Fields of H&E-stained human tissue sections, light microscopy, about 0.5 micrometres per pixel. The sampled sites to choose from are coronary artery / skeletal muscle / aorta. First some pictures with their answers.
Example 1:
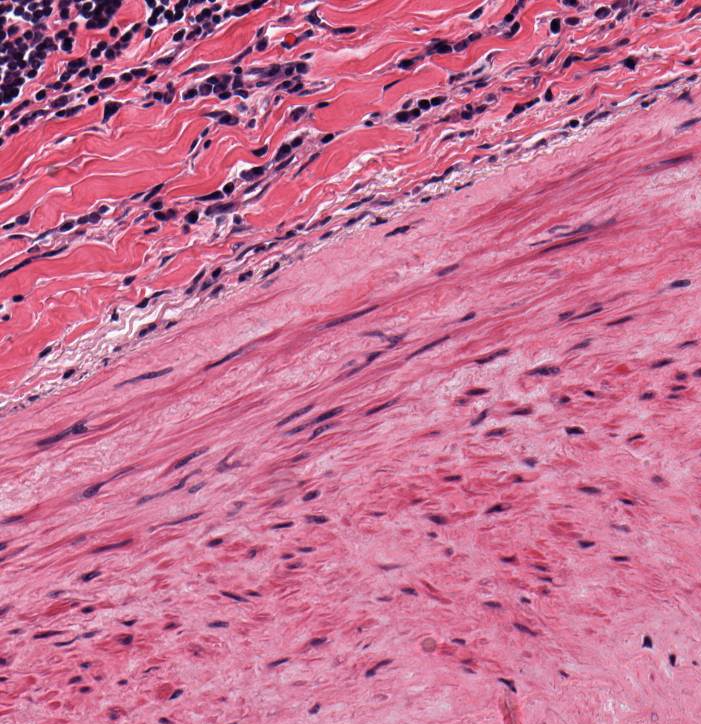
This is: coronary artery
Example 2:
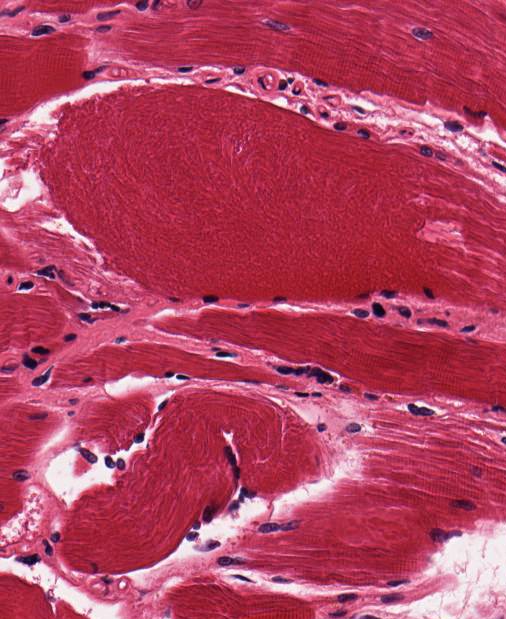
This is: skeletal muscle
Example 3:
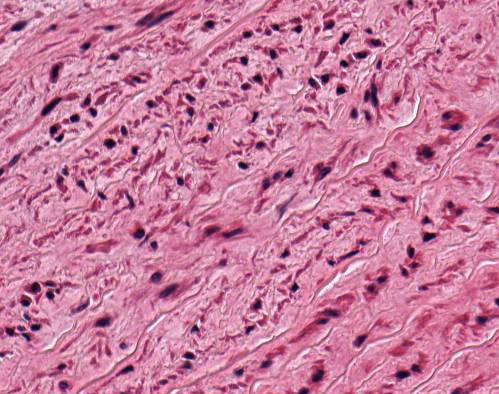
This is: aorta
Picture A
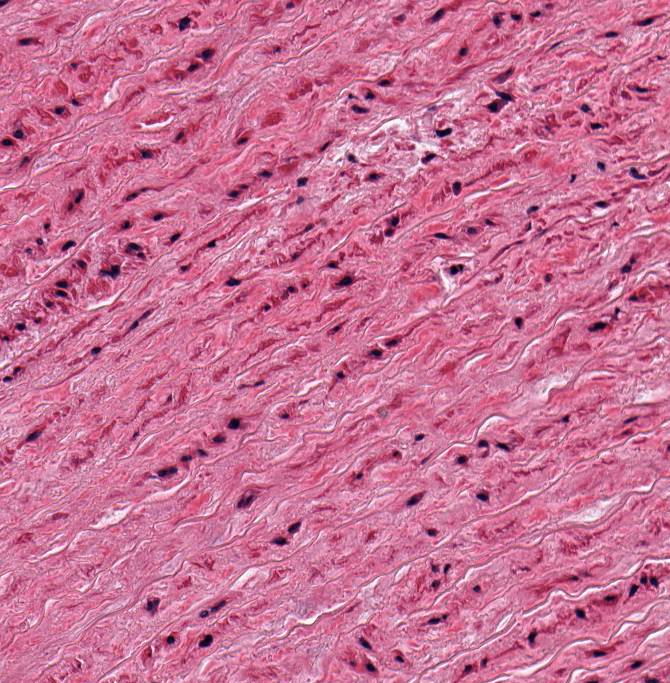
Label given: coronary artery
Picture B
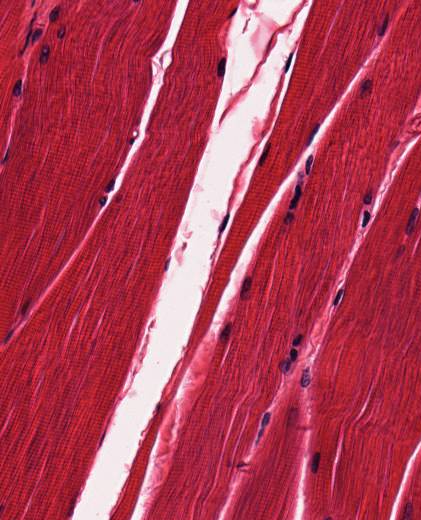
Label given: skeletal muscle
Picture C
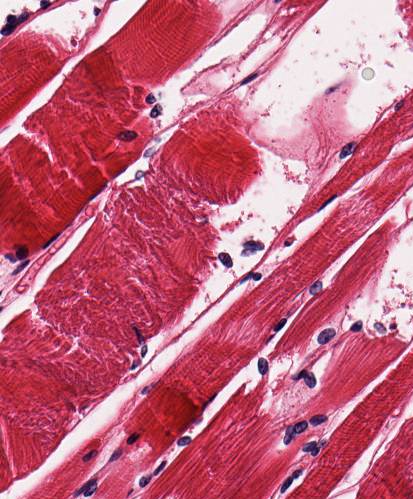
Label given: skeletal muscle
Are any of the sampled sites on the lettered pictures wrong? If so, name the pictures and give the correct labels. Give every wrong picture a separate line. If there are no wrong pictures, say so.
A: not coronary artery but aorta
